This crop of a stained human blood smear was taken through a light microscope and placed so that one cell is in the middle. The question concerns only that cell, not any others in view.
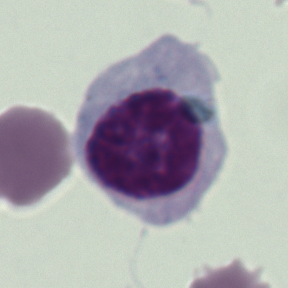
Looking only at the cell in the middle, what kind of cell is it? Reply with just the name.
hairy cell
